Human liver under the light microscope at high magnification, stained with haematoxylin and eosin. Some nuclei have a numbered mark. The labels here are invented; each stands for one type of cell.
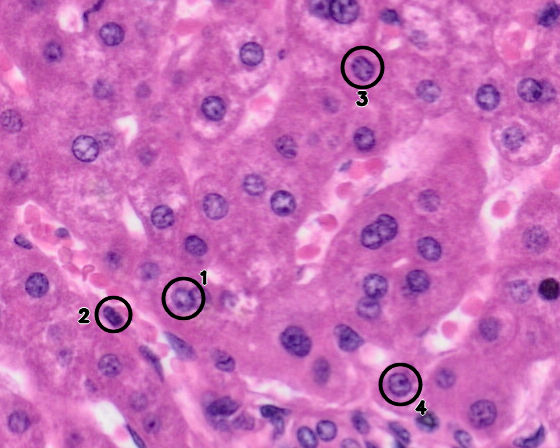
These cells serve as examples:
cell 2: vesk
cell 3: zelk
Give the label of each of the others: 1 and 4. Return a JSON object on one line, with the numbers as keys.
{"1": "zelk", "4": "zelk"}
